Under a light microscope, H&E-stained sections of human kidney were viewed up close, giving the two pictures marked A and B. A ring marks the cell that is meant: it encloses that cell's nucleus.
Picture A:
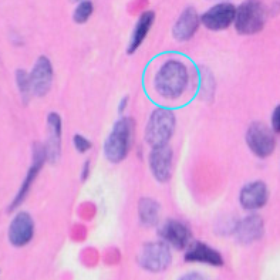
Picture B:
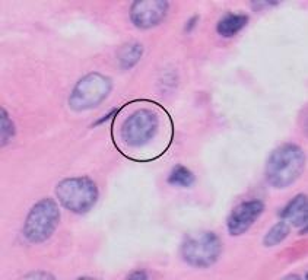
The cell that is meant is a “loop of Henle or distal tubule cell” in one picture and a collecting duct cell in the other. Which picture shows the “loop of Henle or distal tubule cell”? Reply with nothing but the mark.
B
